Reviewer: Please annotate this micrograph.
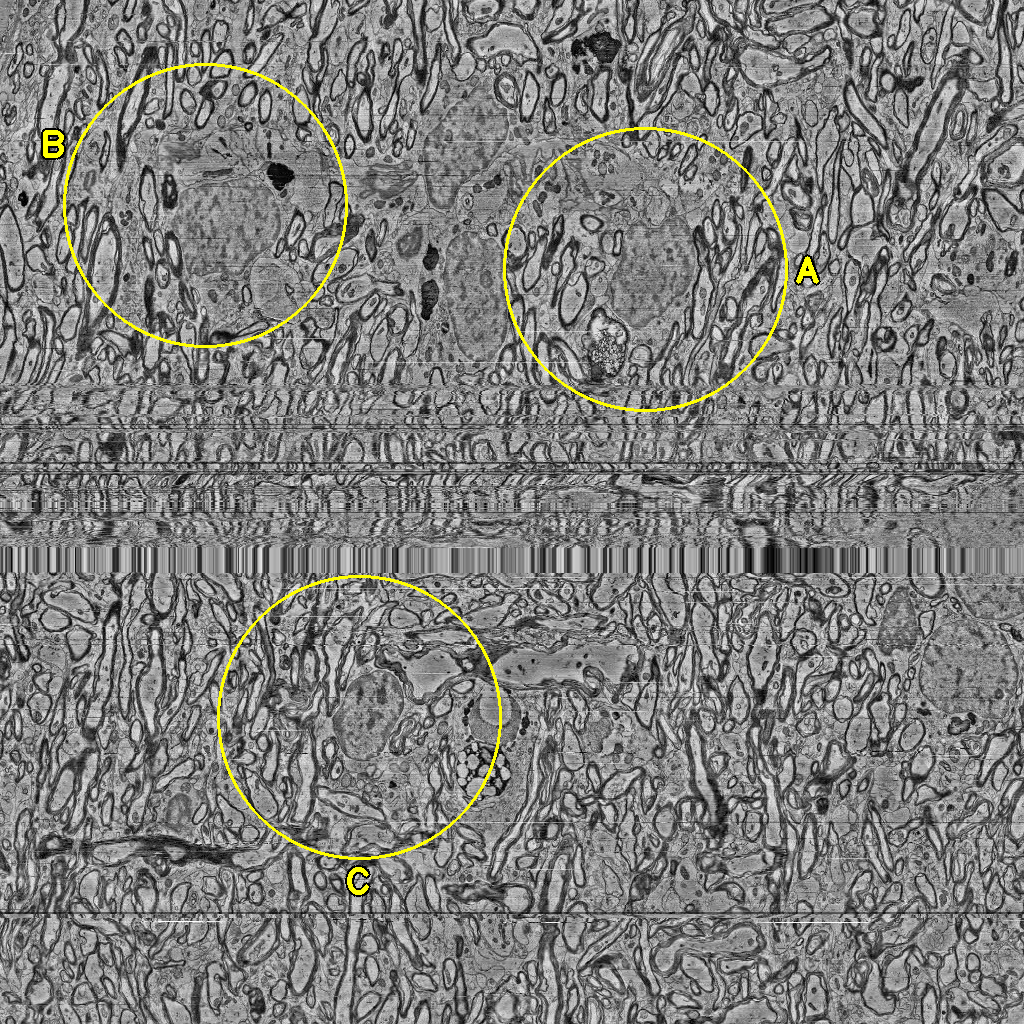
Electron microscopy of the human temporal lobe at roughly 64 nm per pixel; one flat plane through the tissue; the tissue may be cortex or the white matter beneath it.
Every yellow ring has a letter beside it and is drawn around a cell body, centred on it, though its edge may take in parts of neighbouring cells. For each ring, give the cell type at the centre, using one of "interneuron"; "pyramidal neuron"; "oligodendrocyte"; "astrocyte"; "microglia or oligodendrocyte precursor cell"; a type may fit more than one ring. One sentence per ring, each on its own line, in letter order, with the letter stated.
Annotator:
The cell in the middle of ring A is an oligodendrocyte.
The cell in the middle of ring B is an oligodendrocyte.
The cell in the middle of ring C is a microglial cell or oligodendrocyte precursor cell.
